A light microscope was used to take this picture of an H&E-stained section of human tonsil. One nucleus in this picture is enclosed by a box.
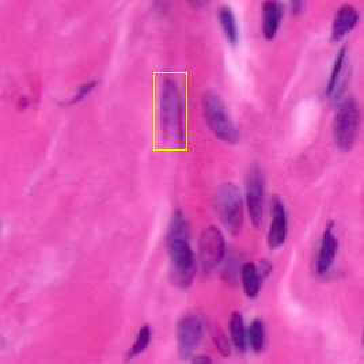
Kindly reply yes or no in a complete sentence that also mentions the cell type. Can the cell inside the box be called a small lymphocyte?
No, for the cell inside the box the correct label is an endothelial cell and not a small lymphocyte.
